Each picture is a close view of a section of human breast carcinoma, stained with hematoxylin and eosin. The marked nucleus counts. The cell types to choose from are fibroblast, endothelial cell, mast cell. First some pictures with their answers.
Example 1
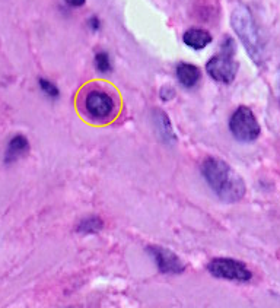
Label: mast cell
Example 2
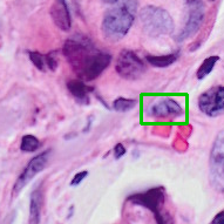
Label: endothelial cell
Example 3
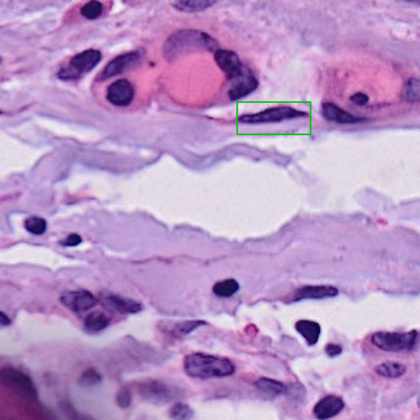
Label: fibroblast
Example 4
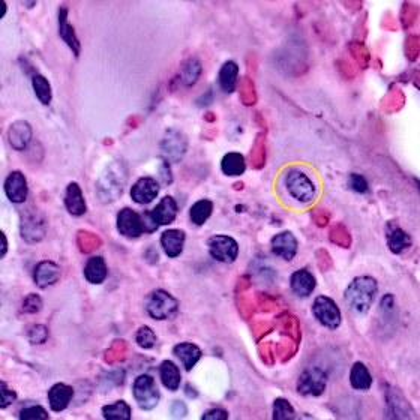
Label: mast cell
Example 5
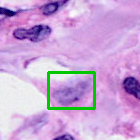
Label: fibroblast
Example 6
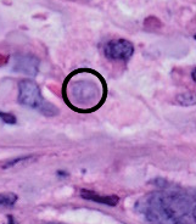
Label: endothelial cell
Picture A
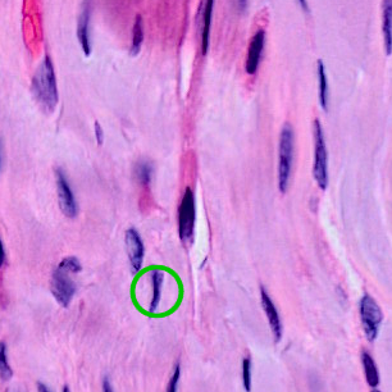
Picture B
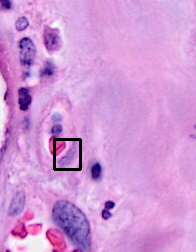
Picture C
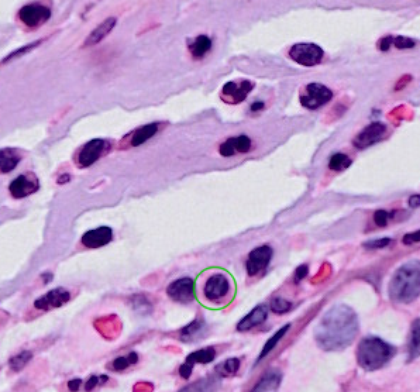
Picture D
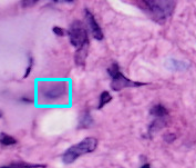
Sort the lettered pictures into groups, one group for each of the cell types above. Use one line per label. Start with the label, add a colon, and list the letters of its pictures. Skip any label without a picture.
fibroblast: A
endothelial cell: B, D
mast cell: C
